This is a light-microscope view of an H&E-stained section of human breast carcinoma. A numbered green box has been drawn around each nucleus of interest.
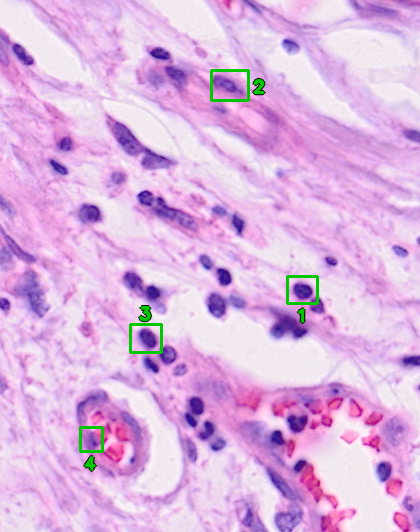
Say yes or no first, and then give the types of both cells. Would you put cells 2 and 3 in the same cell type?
No, just to clarify, cell 2 is an endothelial cell and cell 3 is a lymphocyte.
